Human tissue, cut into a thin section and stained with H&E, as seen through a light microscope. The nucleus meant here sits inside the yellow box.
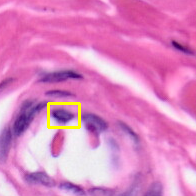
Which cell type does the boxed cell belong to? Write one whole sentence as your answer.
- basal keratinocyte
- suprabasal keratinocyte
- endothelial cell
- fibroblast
As for its identity, the boxed cell is an endothelial cell.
